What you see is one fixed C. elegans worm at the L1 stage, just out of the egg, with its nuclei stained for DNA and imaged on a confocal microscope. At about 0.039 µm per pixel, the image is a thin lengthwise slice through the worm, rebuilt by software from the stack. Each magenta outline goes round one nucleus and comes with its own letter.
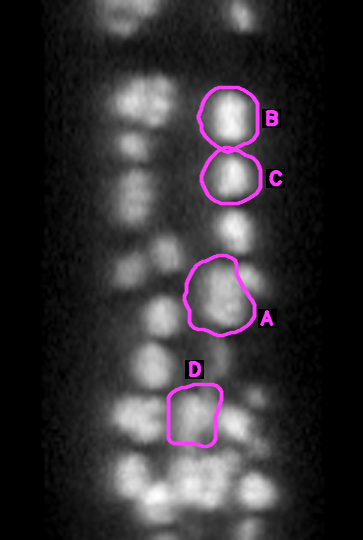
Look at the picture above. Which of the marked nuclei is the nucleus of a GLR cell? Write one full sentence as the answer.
It is B that belongs to a GLR cell.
